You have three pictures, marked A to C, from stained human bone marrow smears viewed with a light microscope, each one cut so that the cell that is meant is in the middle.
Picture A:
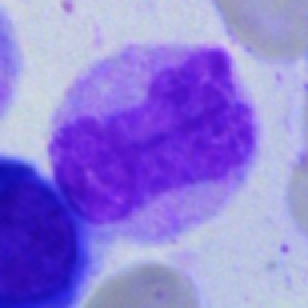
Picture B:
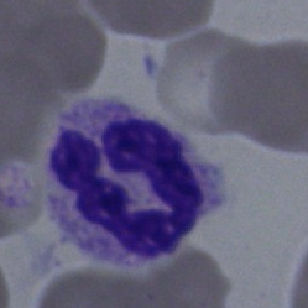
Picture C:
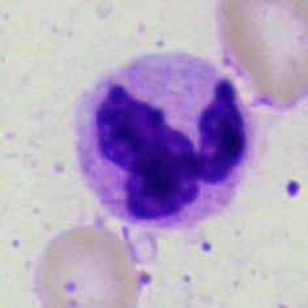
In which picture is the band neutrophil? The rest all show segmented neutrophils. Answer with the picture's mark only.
A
